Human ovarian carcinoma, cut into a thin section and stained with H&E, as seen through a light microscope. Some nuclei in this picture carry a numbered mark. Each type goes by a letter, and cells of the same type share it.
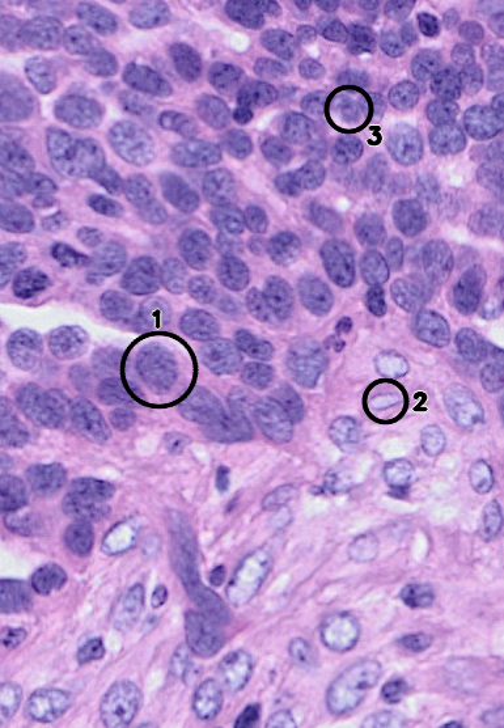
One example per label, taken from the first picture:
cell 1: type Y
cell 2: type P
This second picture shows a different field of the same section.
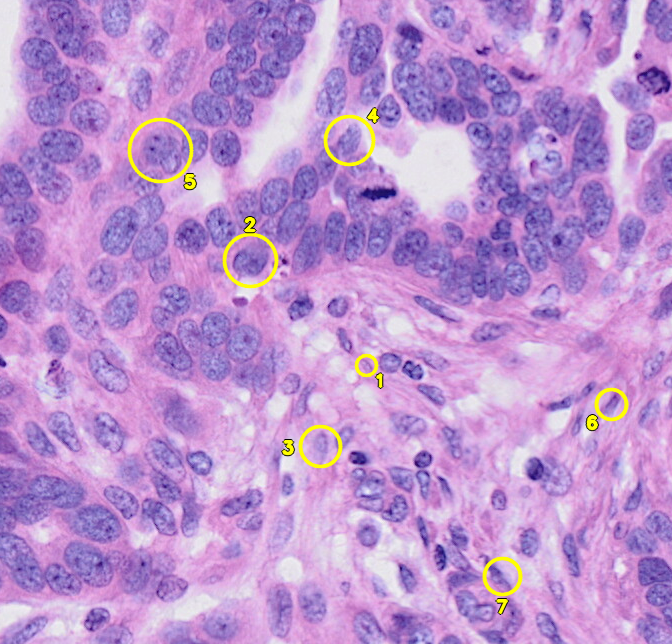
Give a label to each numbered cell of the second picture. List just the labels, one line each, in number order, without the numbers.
type P
type Y
type P
type Y
type Y
type P
type P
